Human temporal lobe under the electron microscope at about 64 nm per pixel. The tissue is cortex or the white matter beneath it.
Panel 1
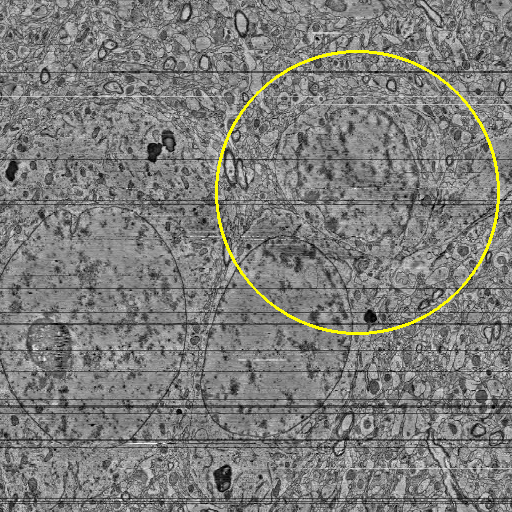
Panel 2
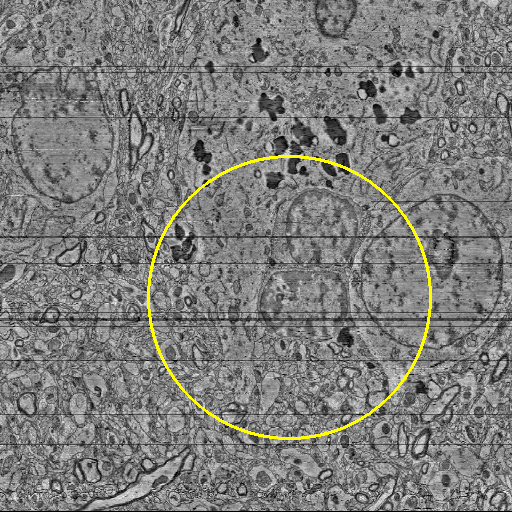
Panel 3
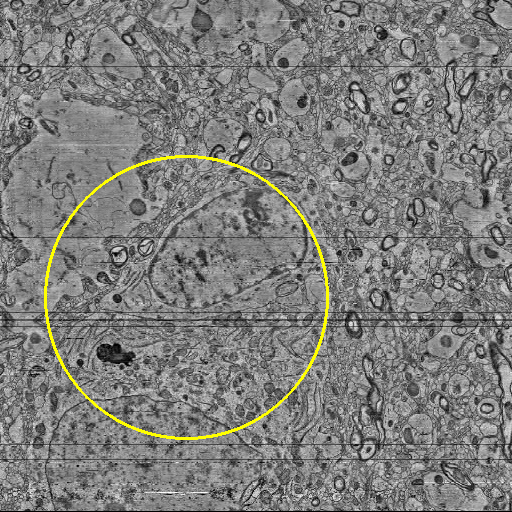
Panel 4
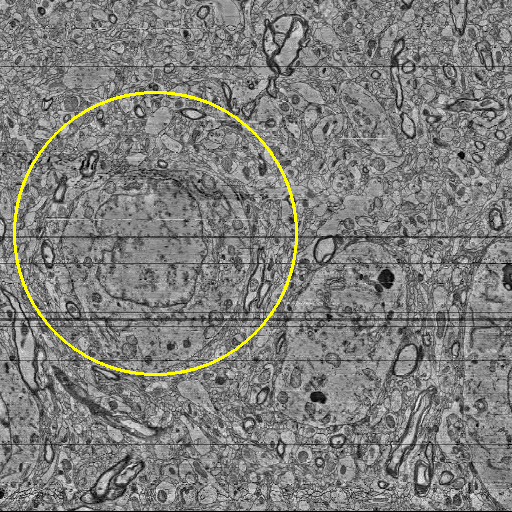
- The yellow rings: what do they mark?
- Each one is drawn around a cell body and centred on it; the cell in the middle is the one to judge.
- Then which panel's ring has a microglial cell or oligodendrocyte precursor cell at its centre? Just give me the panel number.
3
